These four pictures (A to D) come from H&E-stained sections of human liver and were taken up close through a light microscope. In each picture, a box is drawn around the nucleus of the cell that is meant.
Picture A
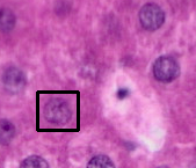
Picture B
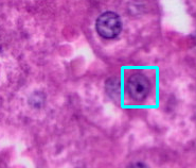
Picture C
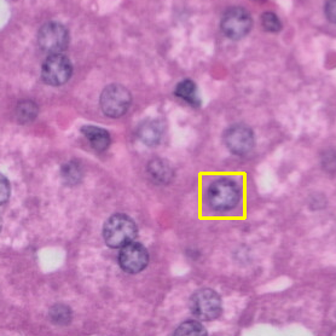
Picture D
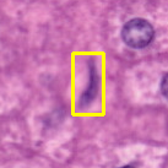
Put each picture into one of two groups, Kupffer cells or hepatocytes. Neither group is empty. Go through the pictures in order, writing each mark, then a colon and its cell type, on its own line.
A: hepatocyte
B: hepatocyte
C: hepatocyte
D: Kupffer cell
